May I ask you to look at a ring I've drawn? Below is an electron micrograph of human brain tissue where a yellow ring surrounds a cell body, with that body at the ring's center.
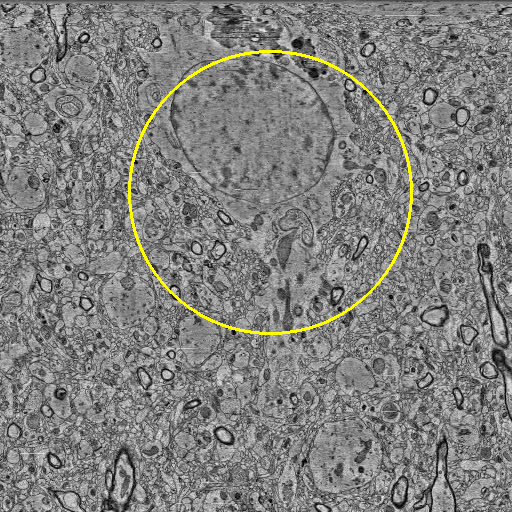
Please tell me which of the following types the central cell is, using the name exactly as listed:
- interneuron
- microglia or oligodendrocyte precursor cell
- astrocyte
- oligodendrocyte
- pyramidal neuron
astrocyte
